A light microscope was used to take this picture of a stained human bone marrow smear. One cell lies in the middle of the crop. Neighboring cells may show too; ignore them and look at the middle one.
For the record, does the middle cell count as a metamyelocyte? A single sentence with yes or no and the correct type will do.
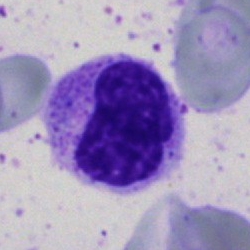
No, the cell at the centre is categorised not as a metamyelocyte but as a myelocyte.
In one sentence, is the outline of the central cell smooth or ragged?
You can see a smooth boundary, with no projections sticking out.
